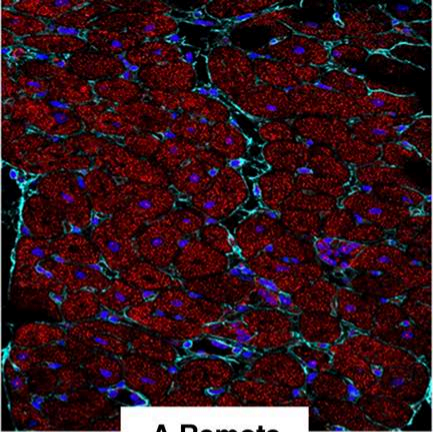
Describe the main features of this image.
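Cross-sectioned heart muscle fibres fill the field, each rounded to polygonal and evenly packed with granular red stain. Thin cyan outlines run between neighbouring fibres, forming a fine network. Small oval blue nuclei lie mostly in the narrow spaces between fibres, with a few within the fibres.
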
